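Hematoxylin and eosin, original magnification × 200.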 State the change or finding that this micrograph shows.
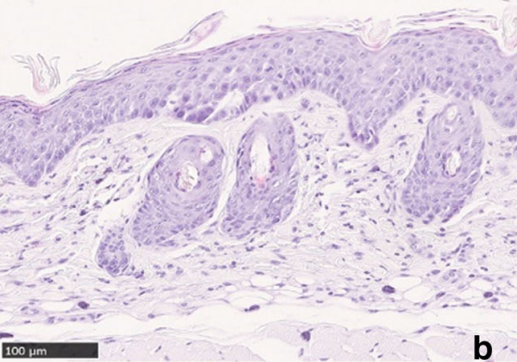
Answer: Acanthosis.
